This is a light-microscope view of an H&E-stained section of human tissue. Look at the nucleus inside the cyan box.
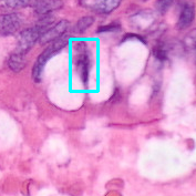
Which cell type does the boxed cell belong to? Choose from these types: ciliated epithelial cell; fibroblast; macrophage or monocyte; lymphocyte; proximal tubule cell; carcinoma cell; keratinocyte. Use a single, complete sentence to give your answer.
The correct response here is that the boxed cell is a ciliated epithelial cell.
